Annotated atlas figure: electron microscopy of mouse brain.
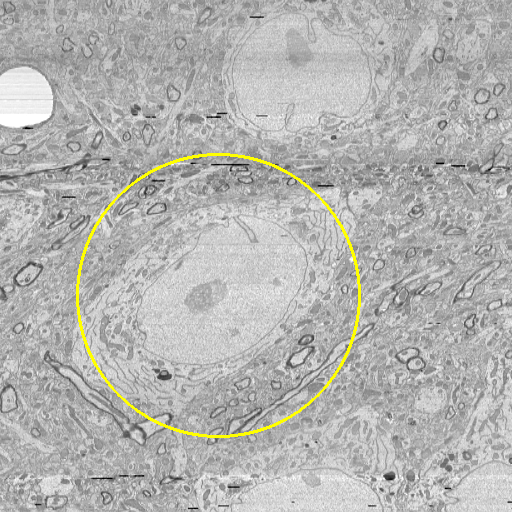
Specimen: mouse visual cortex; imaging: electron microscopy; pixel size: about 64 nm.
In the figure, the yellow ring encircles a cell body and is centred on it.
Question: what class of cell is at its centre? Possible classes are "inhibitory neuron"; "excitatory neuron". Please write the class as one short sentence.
The yellow ring is drawn around an excitatory neuron.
